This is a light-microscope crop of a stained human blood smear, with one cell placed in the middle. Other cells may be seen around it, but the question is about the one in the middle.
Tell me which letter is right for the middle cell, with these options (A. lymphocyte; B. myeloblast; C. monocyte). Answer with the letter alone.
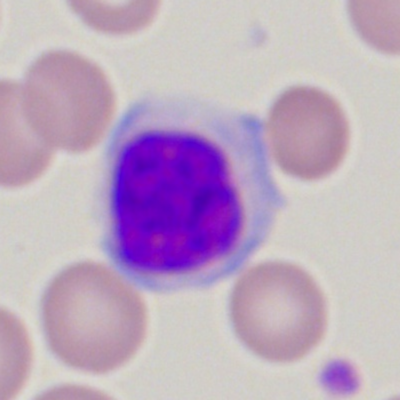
A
